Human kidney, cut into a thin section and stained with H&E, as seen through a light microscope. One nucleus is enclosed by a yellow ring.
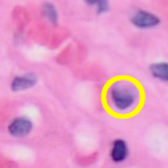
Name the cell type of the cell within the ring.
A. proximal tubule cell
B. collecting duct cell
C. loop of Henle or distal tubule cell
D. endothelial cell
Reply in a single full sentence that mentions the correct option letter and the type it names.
Since the cell within the ring is an endothelial cell, option D is correct.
